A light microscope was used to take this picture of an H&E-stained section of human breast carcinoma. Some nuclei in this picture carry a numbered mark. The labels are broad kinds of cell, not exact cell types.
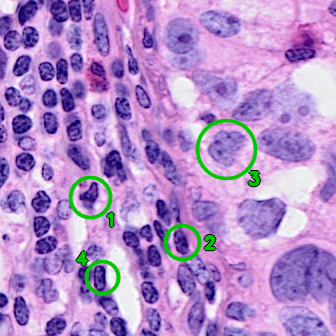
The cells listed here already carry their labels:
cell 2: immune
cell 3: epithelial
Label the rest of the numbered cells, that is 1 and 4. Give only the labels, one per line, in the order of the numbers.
immune
immune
